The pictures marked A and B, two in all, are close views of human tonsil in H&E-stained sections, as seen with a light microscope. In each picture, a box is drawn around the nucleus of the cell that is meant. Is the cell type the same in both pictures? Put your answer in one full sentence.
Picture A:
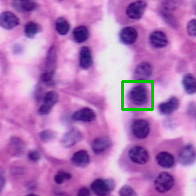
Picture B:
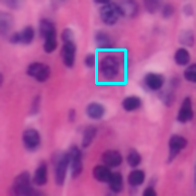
Yes, both are plasma cells.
